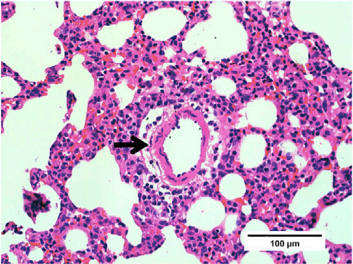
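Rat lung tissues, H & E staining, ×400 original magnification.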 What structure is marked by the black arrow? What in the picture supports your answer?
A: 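The arrow points to a round vessel with an open lumen. The vessel has a pink wall ring set among alveolar spaces. Its diameter is within about one scale bar length. On this evidence: pulmonary arteriole.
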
